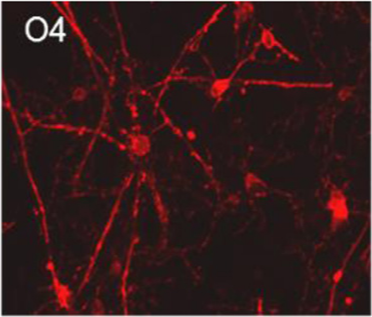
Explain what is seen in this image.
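Cultured immature oligodendrocytes in red: small round or oval cell bodies scattered over a dark field, several brighter than others. From each body thin processes branch out, some long and running across much of the field. The processes are beaded along their length, with small swellings at intervals, and branch at several points. Processes of different cells approach and cross one another, forming a sparse network. Near the centre one cell body shows a ring-like outline with a paler middle.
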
